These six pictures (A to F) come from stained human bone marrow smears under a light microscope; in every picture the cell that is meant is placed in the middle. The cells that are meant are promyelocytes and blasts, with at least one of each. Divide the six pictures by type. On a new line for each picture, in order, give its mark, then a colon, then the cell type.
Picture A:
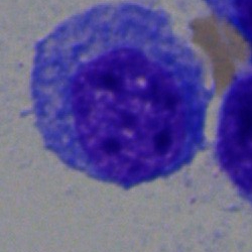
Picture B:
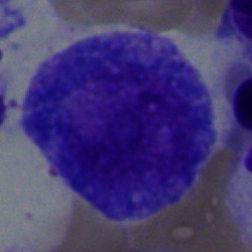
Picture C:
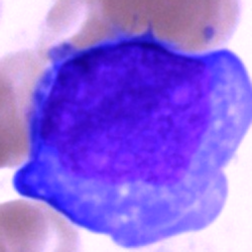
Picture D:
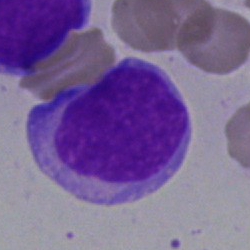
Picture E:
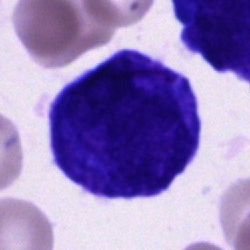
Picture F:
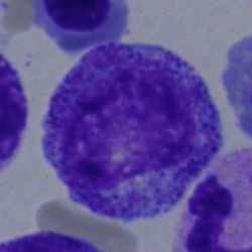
A: promyelocyte
B: promyelocyte
C: blast
D: blast
E: blast
F: promyelocyte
